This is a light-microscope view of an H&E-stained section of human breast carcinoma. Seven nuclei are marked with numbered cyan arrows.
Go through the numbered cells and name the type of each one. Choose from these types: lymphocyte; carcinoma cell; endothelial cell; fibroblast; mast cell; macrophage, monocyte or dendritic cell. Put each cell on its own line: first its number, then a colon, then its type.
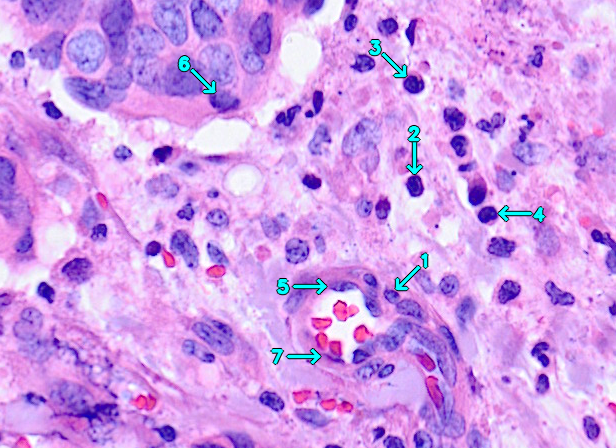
1: endothelial cell
2: lymphocyte
3: lymphocyte
4: lymphocyte
5: endothelial cell
6: carcinoma cell
7: endothelial cell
